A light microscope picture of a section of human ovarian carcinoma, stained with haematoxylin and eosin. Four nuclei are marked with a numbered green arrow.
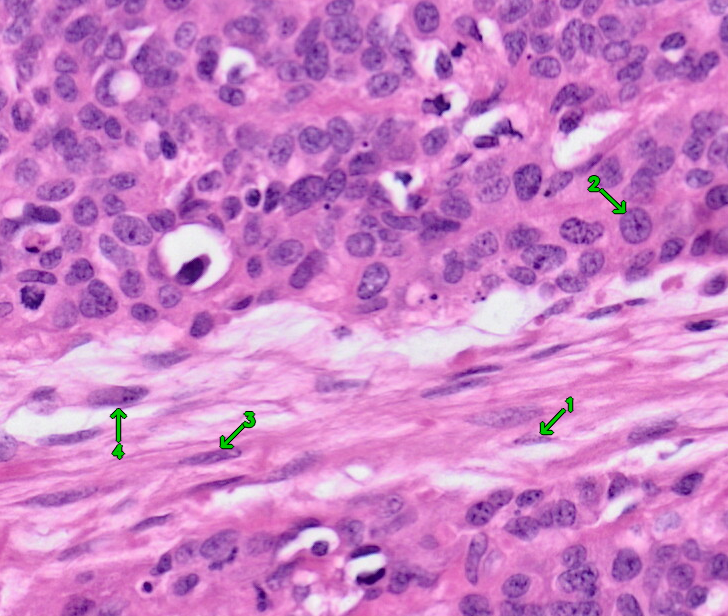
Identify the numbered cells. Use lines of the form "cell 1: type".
cell 1: fibroblast
cell 2: carcinoma cell
cell 3: fibroblast
cell 4: fibroblast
